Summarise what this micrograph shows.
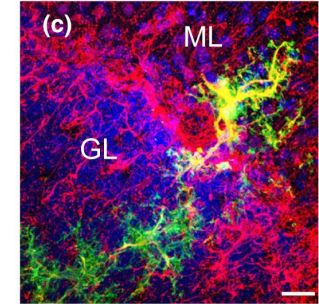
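In cerebellar tissue, a few green cells with dense, bushy arbours of short branching processes sit near the border between the molecular layer and the granular cell layer. Their processes interlace with a mesh of red fibres, turning yellow where the two overlap. Blue nuclei are packed densely in the granular layer and more sparsely above. The green cells are not lined up in a row and send no long radial fibres toward the surface; instead each occupies its own bushy territory.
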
